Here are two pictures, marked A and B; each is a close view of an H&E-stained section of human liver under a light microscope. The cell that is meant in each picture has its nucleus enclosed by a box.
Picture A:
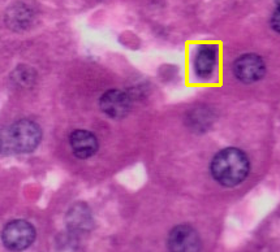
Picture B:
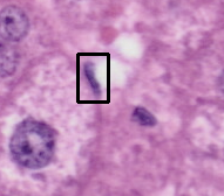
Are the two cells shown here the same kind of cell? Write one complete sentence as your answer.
No, they differ: the cell is a Kupffer cell in picture A and an endothelial cell in picture B.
